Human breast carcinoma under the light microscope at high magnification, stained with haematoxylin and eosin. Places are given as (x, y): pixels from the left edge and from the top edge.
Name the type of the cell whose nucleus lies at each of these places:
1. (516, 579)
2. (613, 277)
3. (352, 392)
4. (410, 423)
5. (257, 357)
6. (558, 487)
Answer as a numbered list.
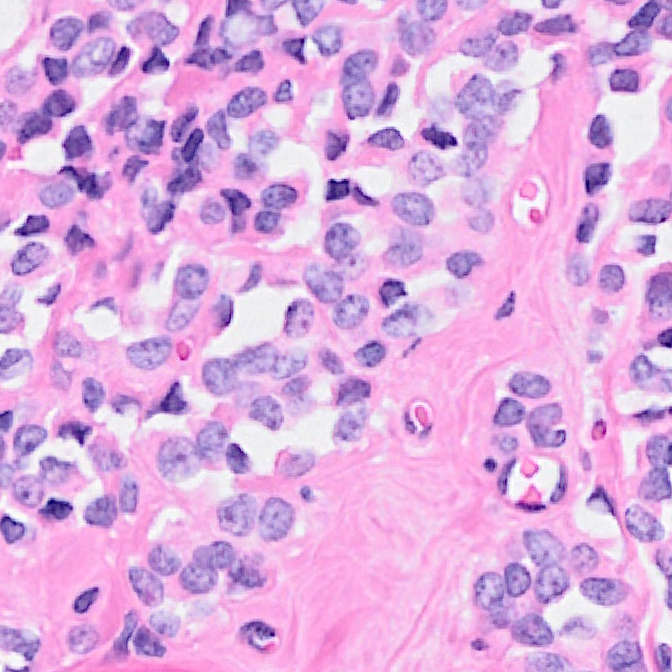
1. carcinoma cell
2. carcinoma cell
3. carcinoma cell
4. endothelial cell
5. carcinoma cell
6. endothelial cell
